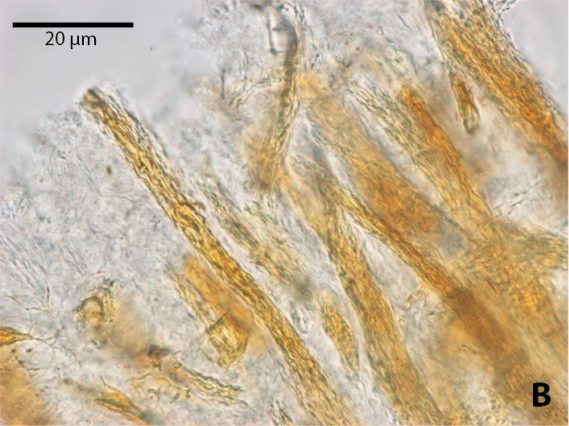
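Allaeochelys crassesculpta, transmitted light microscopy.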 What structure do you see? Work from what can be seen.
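Collagen fibrils-like microstructures. Elongated, amber-brown fibrous strands run roughly parallel to one another. Several strands are grouped side by side in bundles. Each strand has a finely striated, fibrous texture.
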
